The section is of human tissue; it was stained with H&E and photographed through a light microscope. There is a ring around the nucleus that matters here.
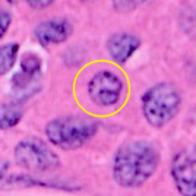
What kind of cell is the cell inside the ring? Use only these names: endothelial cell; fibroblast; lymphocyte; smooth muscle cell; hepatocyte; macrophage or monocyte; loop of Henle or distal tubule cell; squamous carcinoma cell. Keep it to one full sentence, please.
In the tissue under study, the cell inside the ring is a squamous carcinoma cell.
